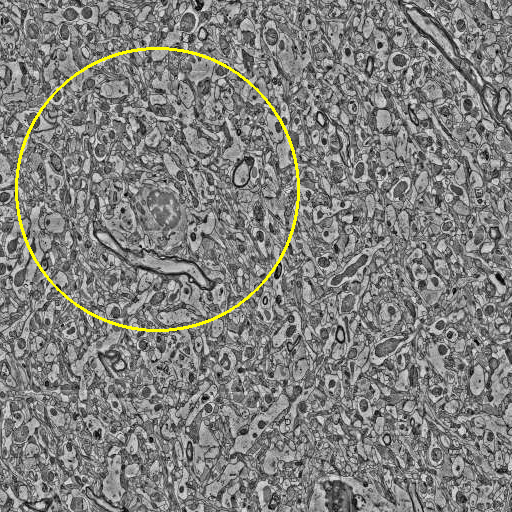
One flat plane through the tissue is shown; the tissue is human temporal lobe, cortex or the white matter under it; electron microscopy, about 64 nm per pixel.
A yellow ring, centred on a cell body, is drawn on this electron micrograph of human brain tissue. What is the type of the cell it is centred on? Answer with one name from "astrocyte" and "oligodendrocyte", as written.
oligodendrocyte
